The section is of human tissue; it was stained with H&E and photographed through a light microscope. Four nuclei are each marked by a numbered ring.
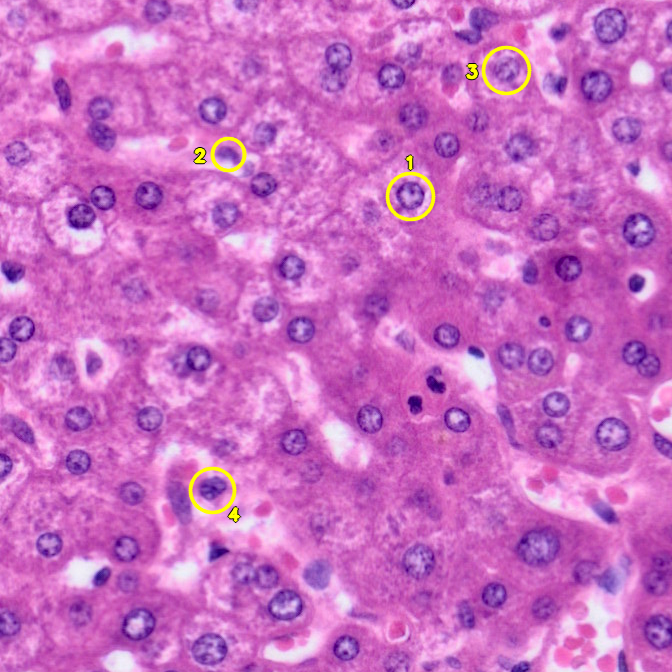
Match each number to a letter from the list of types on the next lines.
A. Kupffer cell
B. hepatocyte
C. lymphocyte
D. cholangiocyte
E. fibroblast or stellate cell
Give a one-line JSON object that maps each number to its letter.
{"1": "B", "2": "A", "3": "B", "4": "E"}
